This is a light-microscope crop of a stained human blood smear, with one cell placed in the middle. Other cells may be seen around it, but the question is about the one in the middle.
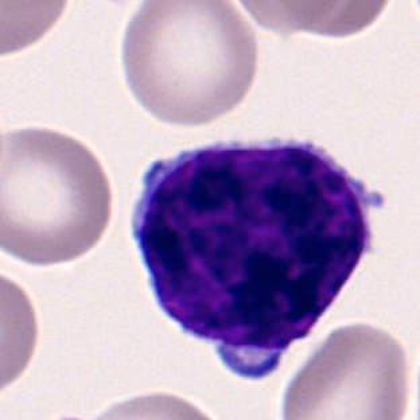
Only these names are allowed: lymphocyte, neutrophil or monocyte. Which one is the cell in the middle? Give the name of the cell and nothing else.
lymphocyte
